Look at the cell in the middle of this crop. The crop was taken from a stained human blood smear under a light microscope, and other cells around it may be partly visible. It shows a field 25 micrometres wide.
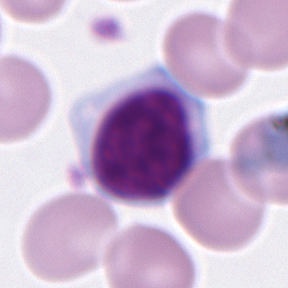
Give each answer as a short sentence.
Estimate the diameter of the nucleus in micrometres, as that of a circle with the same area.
The diameter of the nucleus comes to about 9 micrometres.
